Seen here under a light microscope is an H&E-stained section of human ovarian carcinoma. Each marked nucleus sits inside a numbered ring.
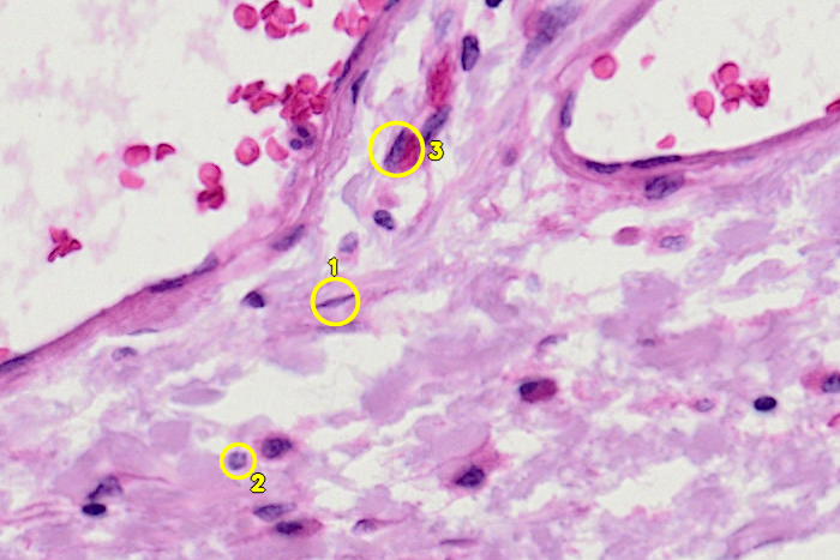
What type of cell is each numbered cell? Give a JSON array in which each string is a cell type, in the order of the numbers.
["fibroblast", "lymphocyte", "endothelial cell"]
